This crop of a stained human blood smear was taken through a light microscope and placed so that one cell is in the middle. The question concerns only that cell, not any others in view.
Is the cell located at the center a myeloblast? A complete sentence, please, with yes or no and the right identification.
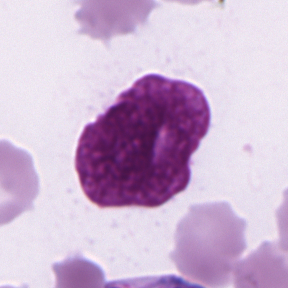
No, the centrally located cell is a smudge cell rather than a myeloblast.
